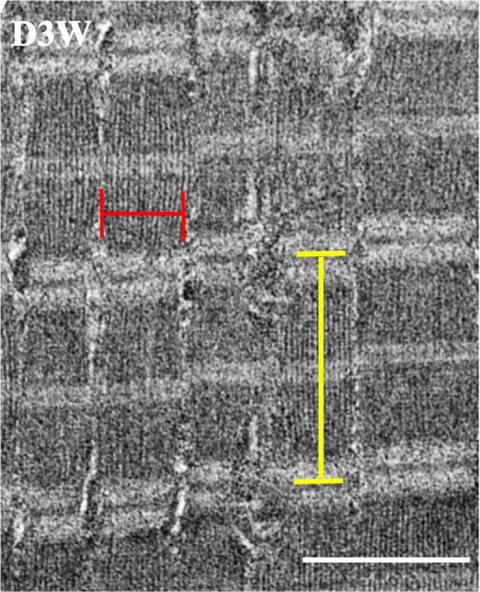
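A longitudinal section of muscle in which the fine parallel filaments are divided by pale transverse bands into repeating sarcomeres. The longitudinal seams between myofibrils lie close together here, so each myofibril is a narrow band.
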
